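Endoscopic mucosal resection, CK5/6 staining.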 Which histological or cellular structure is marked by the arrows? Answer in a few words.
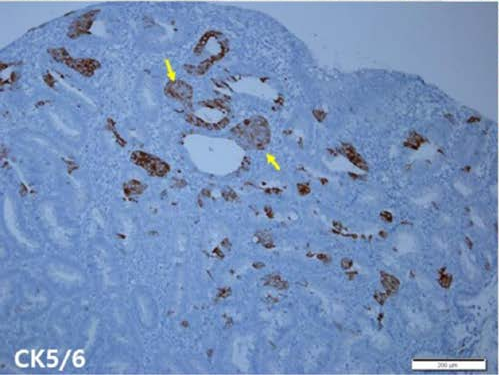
squamoid morules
